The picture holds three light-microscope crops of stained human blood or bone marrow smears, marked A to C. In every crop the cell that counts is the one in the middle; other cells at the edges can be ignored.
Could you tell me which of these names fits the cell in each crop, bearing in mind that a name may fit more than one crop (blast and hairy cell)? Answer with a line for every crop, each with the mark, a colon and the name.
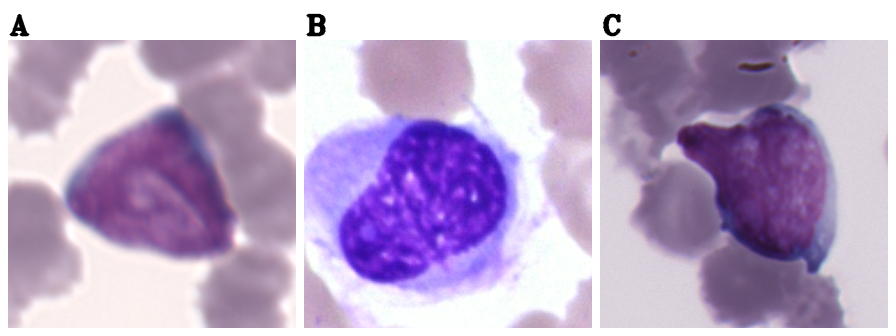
A: blast
B: hairy cell
C: blast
